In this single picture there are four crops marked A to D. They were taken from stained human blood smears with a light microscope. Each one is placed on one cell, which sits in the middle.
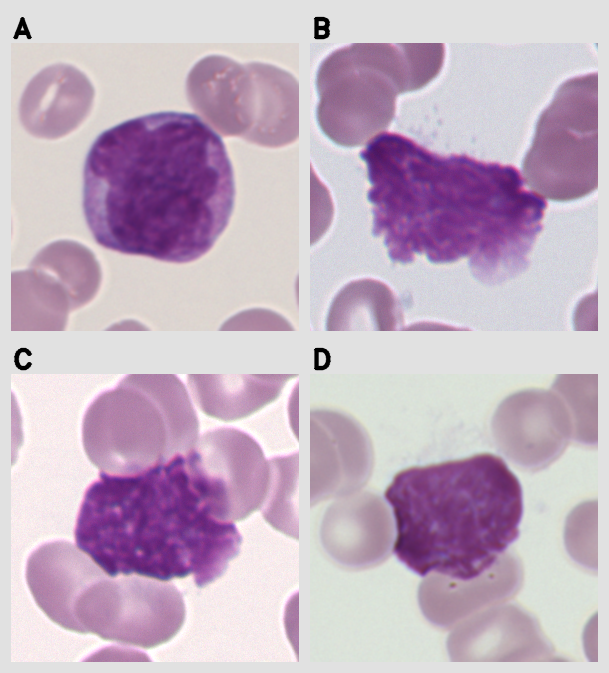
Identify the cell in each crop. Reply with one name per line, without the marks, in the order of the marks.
atypical promyelocyte
smudge cell
smudge cell
smudge cell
